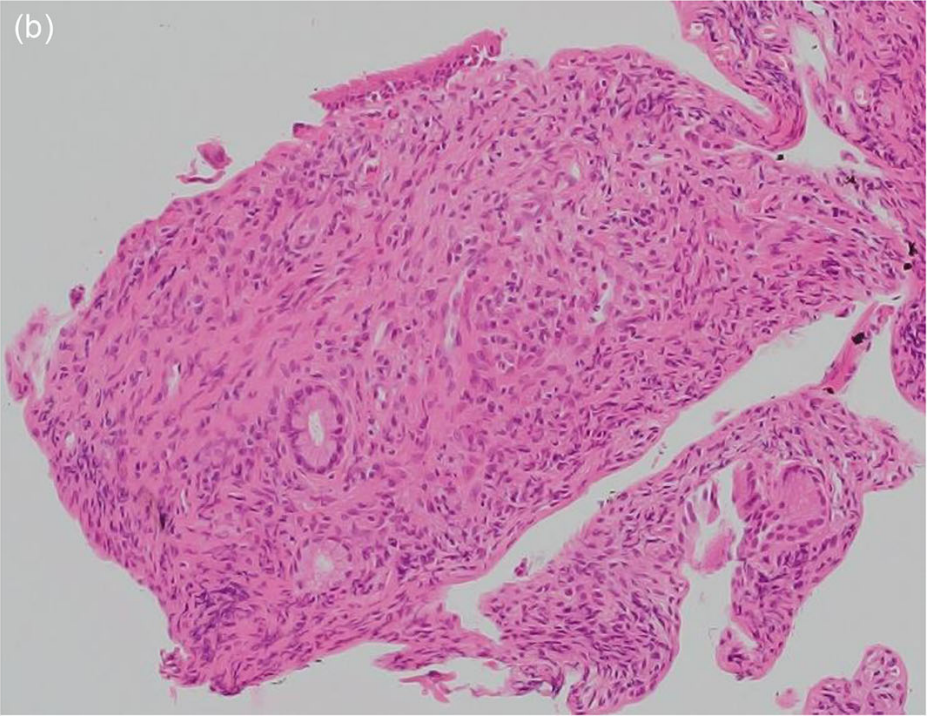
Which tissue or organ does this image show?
stroma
